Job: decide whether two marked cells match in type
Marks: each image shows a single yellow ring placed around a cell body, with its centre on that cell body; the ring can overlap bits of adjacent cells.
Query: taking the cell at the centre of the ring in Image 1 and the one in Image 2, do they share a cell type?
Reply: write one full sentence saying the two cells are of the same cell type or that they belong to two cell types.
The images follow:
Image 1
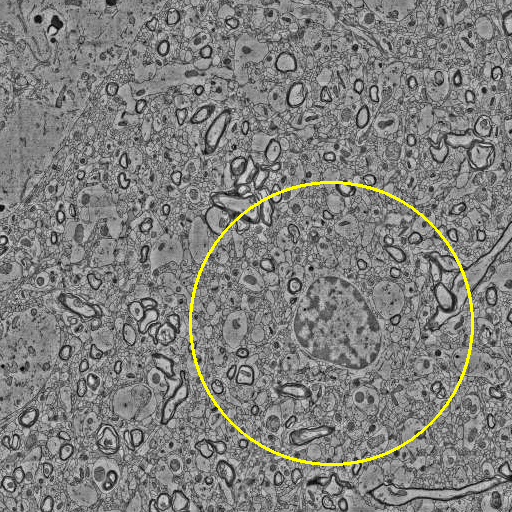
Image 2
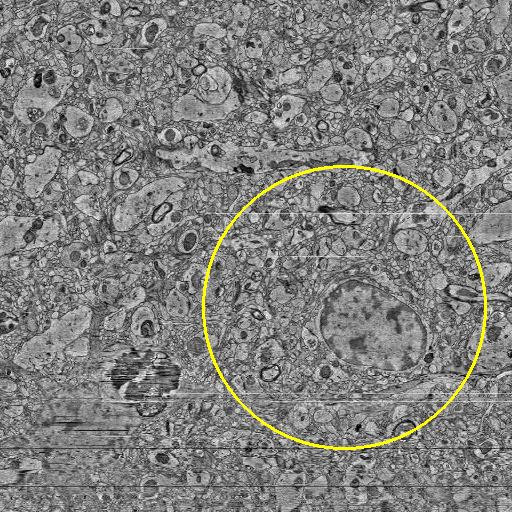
The cells at the ring centres in Image 1 and Image 2 are of the same cell type.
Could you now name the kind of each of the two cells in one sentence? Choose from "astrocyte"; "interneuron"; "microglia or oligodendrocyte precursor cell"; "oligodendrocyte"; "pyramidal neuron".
Each cell, in the first picture and the second, is a microglial cell or oligodendrocyte precursor cell.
